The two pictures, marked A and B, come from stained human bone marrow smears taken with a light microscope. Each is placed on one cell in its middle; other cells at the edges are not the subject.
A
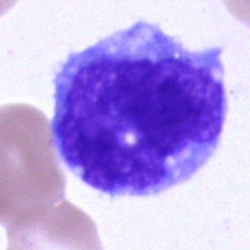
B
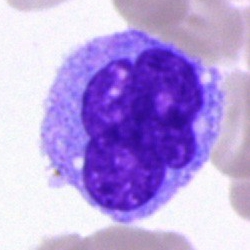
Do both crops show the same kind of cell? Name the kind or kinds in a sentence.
Yes, the cells that both crops show at the centre are monocytes.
